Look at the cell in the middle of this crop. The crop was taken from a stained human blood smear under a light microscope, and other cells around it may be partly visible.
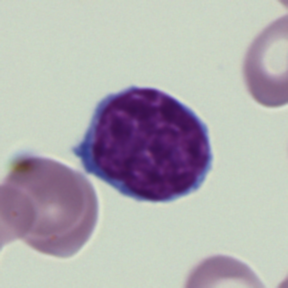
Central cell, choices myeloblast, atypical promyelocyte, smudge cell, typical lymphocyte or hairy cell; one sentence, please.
The cell in the middle of this crop is a typical lymphocyte.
